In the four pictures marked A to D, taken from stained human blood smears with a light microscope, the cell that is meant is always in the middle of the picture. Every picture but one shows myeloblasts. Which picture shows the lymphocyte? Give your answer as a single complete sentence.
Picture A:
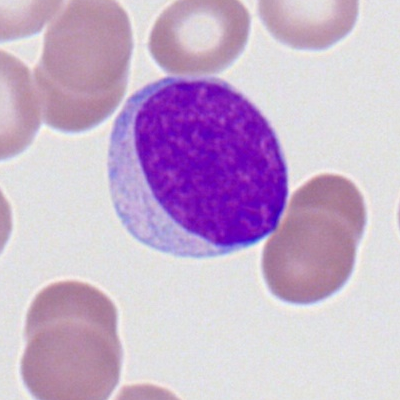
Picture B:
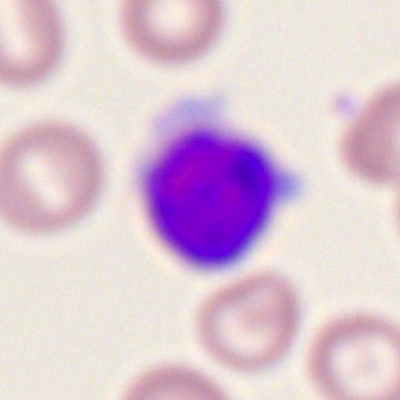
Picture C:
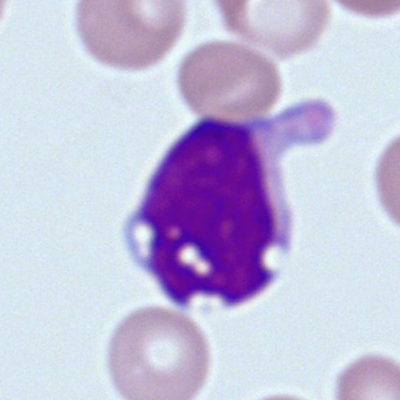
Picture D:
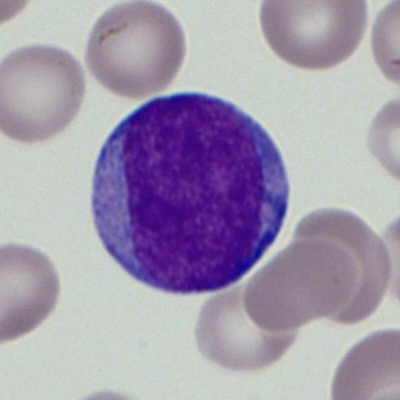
The picture with the lymphocyte is B.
